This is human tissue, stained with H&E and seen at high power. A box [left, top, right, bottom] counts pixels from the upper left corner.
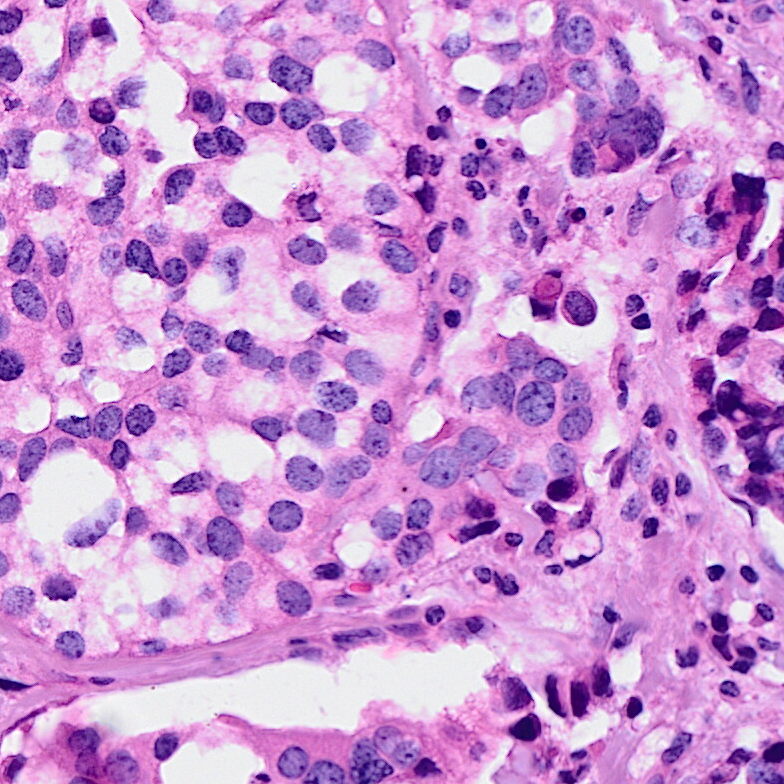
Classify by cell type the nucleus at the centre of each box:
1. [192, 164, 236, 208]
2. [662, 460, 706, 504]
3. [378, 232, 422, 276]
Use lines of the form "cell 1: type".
cell 1: carcinoma cell
cell 2: lymphocyte
cell 3: carcinoma cell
